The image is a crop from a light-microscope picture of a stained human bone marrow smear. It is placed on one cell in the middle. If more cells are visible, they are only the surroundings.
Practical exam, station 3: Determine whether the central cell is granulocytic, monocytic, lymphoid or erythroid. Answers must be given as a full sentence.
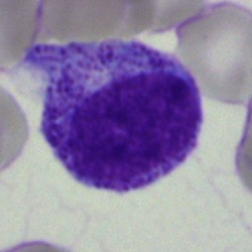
The cell at the crop's center sits within the granulocytic lineage.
